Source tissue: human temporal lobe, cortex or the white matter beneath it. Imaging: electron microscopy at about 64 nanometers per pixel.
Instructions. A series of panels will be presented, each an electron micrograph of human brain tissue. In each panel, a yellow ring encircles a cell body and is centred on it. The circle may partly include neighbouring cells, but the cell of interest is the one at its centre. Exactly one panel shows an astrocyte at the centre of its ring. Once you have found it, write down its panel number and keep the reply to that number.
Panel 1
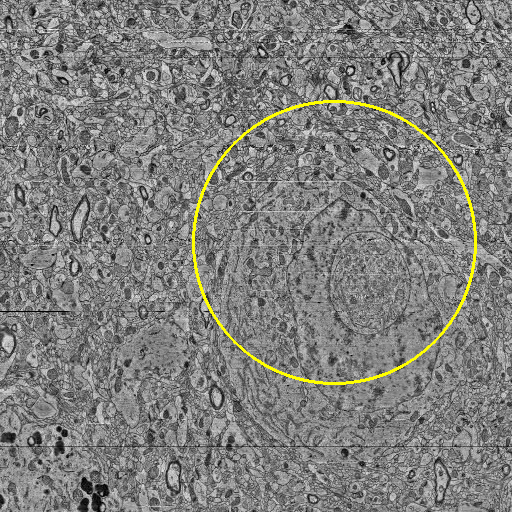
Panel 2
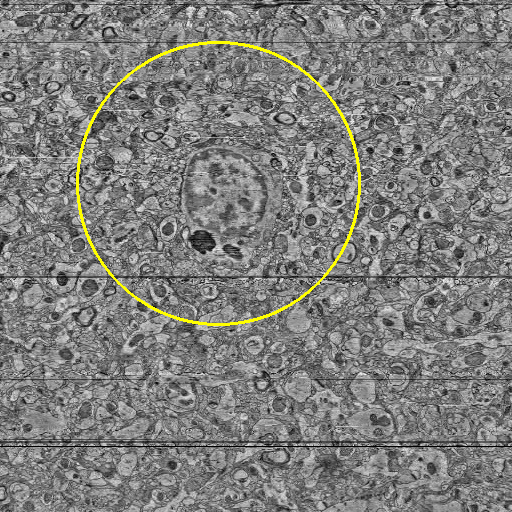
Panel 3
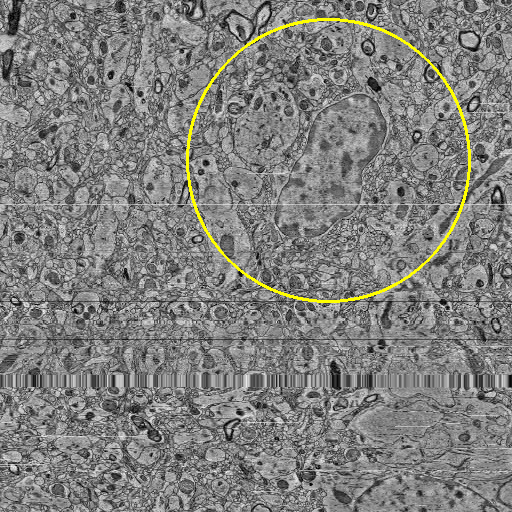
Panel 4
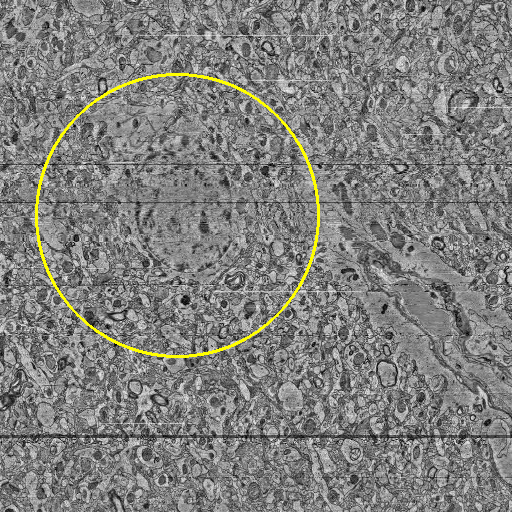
4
